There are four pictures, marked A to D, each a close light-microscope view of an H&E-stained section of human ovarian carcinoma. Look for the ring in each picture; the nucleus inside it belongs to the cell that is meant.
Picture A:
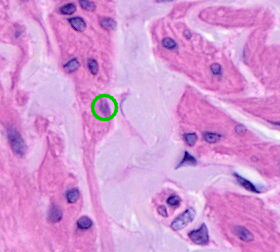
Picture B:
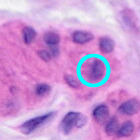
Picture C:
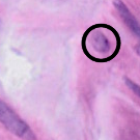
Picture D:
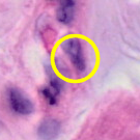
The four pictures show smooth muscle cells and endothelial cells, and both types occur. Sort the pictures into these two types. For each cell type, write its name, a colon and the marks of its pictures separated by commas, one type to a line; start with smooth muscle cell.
smooth muscle cell: A, B, C
endothelial cell: D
